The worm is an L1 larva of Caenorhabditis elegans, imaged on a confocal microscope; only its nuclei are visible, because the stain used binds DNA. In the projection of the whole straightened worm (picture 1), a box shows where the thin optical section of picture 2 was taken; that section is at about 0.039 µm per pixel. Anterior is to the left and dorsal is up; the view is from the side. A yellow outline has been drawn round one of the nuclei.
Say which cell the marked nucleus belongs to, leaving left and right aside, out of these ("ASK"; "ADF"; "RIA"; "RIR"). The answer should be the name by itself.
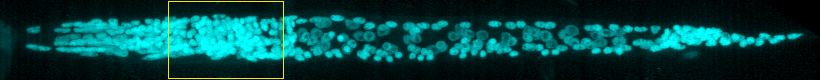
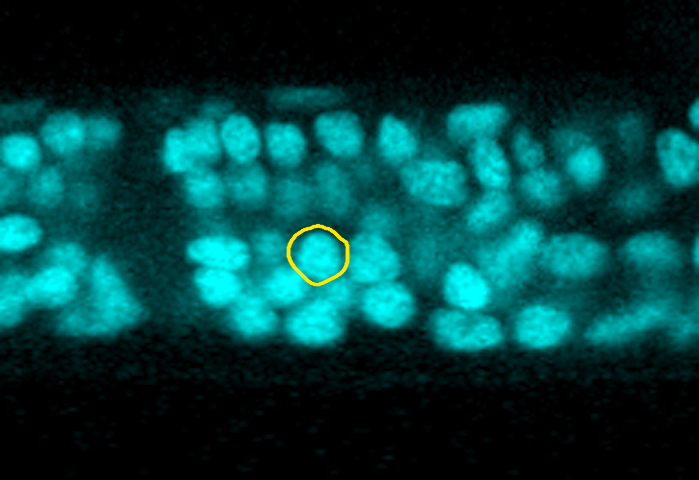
RIR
